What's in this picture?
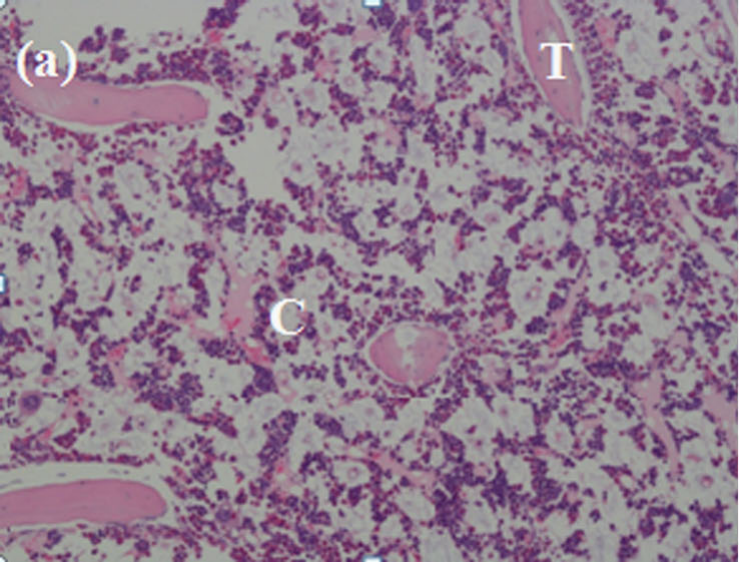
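This is a loose, cell-rich tissue with a few thin bone trabeculae at its edges. Clusters of small round cells with dark purple nuclei lie scattered among pale, vacuolated areas. Narrow, elongated pink-stained bands of bone run along the upper and lower margins of the field, and a small pink island lies near the centre.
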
